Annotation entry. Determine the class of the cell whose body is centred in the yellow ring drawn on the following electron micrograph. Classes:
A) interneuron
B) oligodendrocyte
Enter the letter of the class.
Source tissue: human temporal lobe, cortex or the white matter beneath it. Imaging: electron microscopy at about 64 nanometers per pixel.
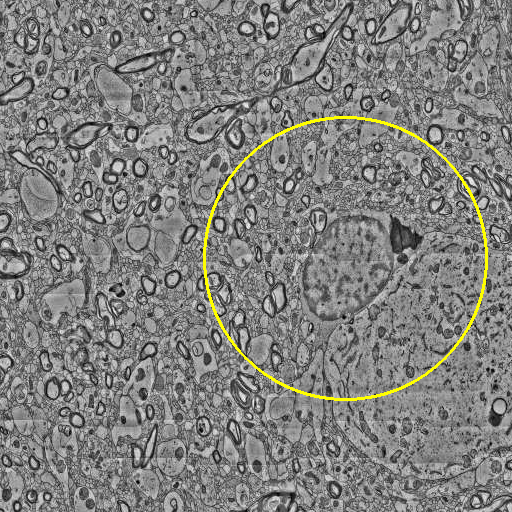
B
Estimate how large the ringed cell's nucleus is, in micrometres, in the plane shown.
The nucleus measures about 8 by 5 micrometres in this plane.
